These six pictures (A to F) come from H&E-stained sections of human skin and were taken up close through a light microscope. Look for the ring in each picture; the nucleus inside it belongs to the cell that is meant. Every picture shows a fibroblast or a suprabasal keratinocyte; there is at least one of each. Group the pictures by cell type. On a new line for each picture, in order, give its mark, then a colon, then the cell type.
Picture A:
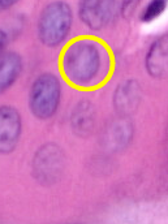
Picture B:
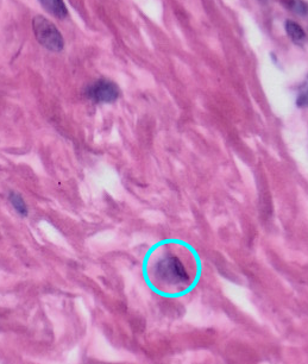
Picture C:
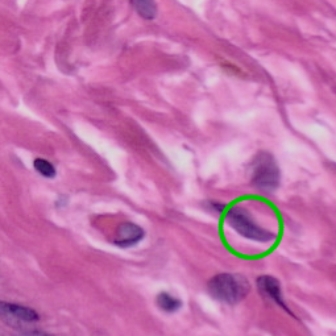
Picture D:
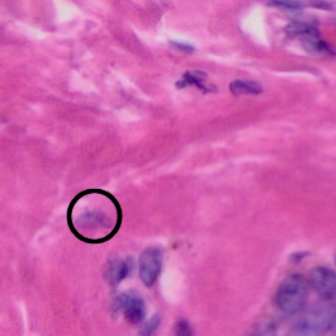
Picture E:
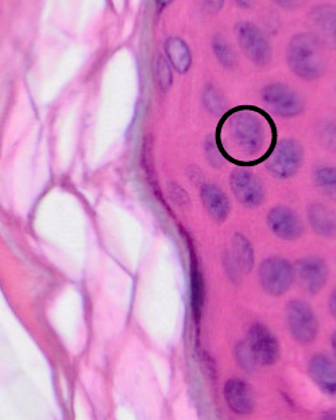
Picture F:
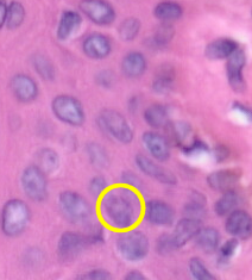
A: suprabasal keratinocyte
B: fibroblast
C: fibroblast
D: fibroblast
E: suprabasal keratinocyte
F: suprabasal keratinocyte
